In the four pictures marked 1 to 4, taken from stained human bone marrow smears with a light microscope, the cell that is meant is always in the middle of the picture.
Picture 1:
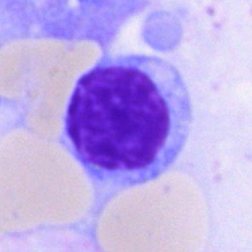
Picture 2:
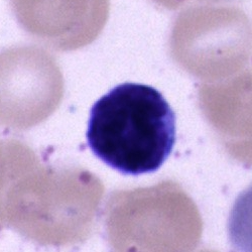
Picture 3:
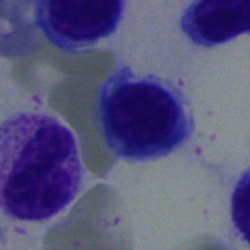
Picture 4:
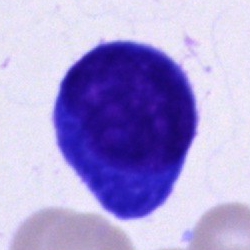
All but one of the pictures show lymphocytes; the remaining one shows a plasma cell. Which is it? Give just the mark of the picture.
4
